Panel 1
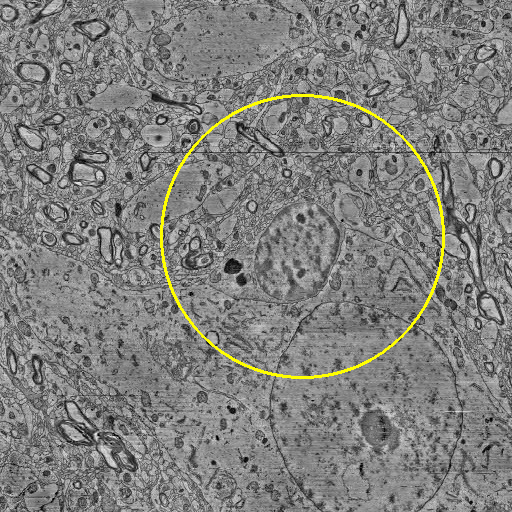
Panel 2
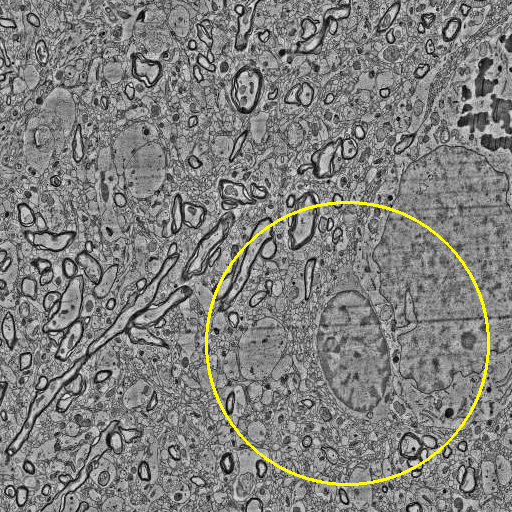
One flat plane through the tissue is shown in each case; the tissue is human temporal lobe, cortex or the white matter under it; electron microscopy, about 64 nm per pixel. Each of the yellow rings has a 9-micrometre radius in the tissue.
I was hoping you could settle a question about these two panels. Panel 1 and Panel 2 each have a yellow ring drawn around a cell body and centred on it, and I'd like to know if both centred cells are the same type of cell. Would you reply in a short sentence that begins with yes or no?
Yes, both are the same type of cell.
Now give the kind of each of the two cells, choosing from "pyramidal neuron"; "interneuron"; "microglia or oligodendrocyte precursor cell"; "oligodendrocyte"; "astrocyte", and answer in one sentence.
In each of the two pictures, the ringed cell is an oligodendrocyte.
